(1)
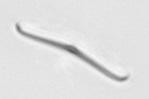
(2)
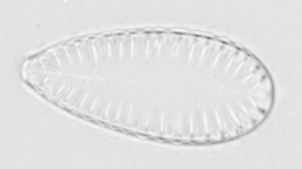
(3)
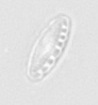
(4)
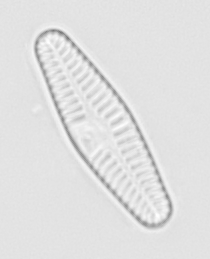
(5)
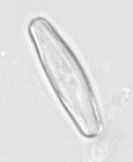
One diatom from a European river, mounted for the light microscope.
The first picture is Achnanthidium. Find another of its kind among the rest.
Picture 5.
